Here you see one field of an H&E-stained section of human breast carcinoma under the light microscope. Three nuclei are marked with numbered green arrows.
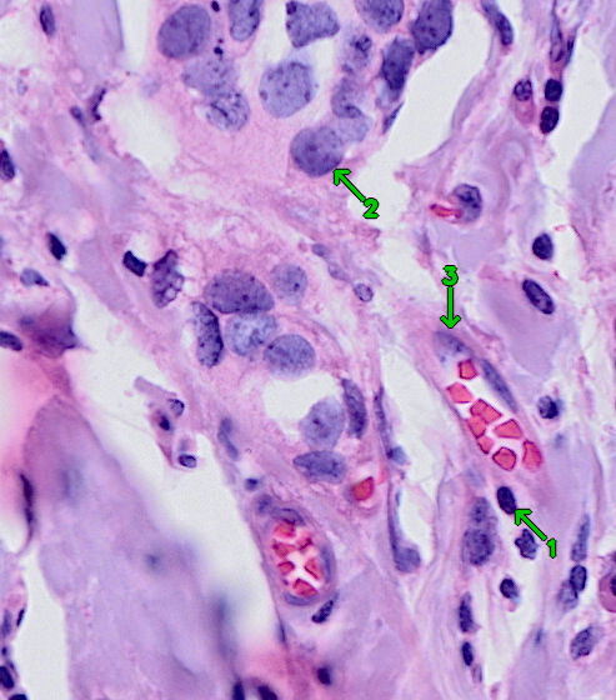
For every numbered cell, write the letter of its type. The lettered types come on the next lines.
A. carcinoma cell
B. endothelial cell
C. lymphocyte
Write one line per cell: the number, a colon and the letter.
1: C
2: A
3: B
